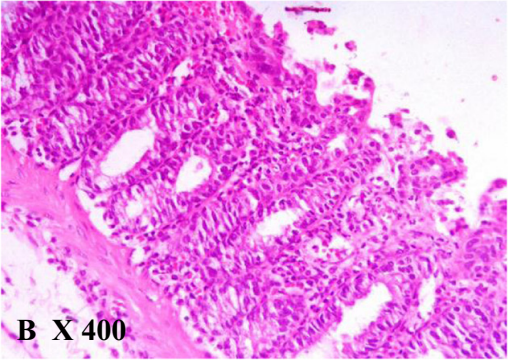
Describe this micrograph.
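Colonic mucosa with disturbed architecture. Crypts are few, irregular and elongated, with narrow clear lumens, lined by crowded epithelium with dark, elongated, stratified nuclei and few goblet cells. The tissue between crypts is densely cellular, packed with small dark nuclei. The mucosal surface at the top is ragged, with loose fragments of cells detaching into the lumen. Pink fibrous tissue lies at the lower left edge. Overall the orderly crypt pattern of normal colon is lost and the tissue appears heavily infiltrated and damaged.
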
